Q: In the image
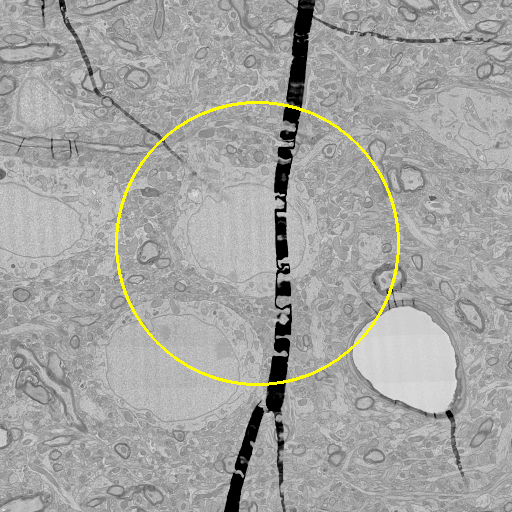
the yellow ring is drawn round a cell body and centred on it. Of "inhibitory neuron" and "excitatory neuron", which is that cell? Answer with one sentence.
The cell centred in the ring is an excitatory neuron.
